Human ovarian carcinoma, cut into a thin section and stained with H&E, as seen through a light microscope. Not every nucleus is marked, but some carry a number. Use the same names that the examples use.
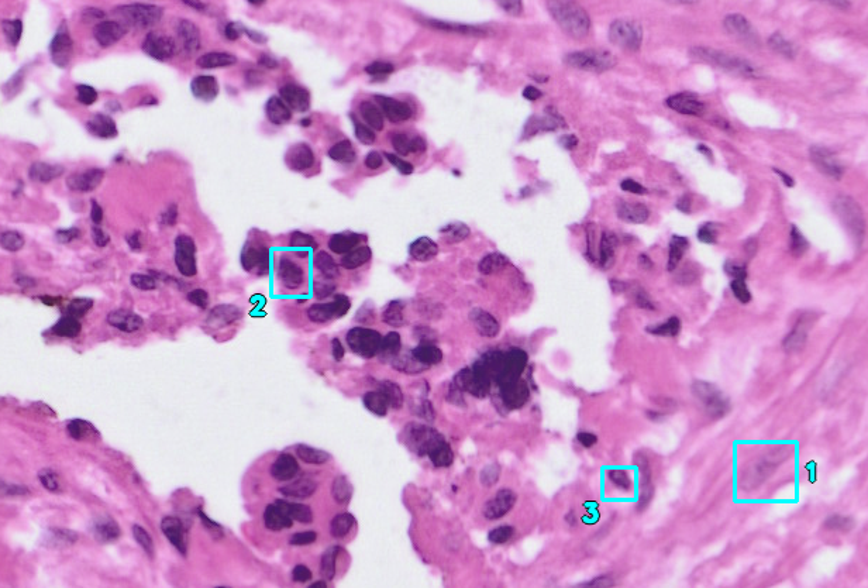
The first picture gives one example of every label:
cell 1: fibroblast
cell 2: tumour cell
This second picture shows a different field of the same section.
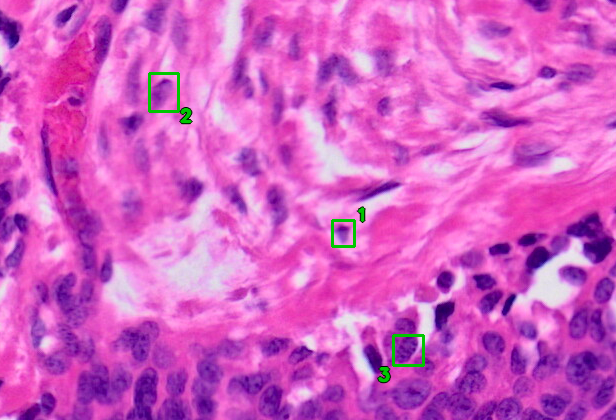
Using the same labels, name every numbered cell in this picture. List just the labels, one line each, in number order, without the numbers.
fibroblast
fibroblast
tumour cell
